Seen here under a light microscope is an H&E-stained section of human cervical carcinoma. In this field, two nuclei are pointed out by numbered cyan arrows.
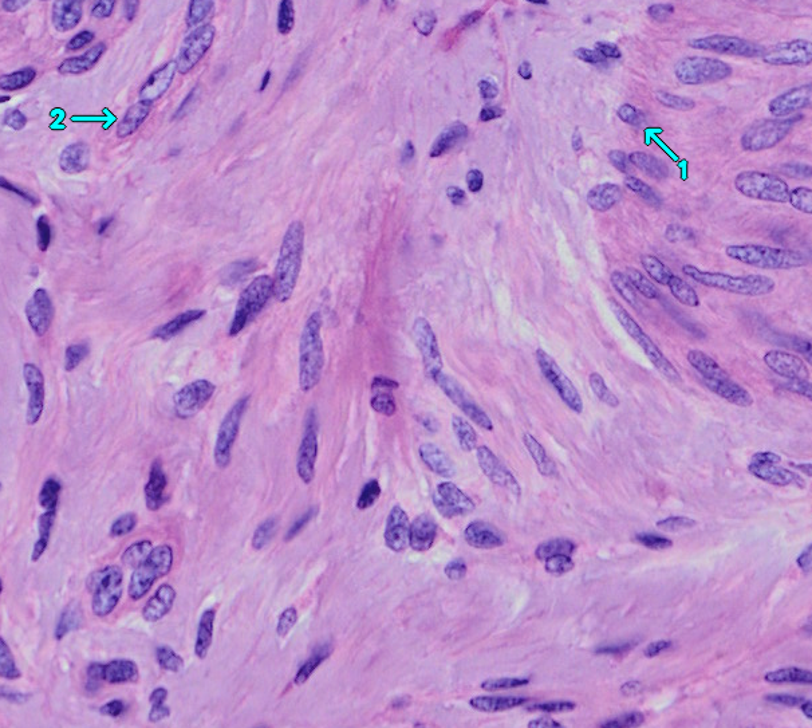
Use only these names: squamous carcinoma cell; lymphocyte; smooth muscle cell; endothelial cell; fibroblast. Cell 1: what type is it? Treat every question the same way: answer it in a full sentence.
The cell bearing label 1 corresponds to a smooth muscle cell.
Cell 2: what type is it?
In the marked set, the cell given number 2 is an endothelial cell.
